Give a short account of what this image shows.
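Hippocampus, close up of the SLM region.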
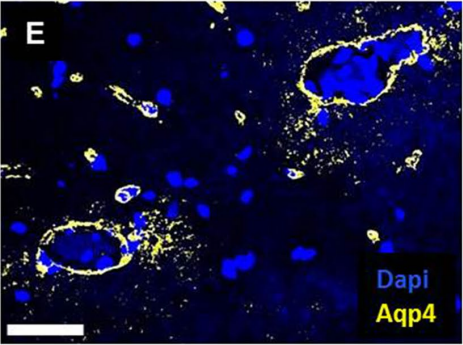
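Bright yellow signal forms continuous rings around the vessel lumens, two larger oval vessels and many small round or elongated profiles of capillary size. Blue nuclei lie within and along the walls of the larger vessels, and scattered blue nuclei of other cells lie in the tissue between vessels. Around the larger vessels fine yellow dots spread a short distance into the surrounding tissue beyond the ring, while the tissue away from vessels shows little yellow.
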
